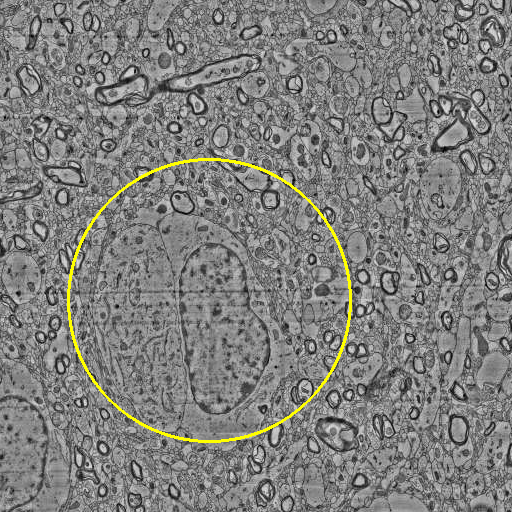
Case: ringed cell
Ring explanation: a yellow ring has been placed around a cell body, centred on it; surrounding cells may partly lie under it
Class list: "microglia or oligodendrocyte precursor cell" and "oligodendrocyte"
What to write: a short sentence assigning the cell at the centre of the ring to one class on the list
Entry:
The cell at the ring's centre is a microglial cell or oligodendrocyte precursor cell.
